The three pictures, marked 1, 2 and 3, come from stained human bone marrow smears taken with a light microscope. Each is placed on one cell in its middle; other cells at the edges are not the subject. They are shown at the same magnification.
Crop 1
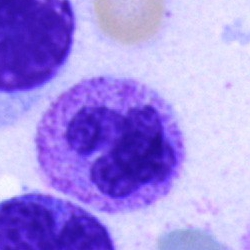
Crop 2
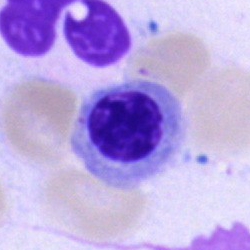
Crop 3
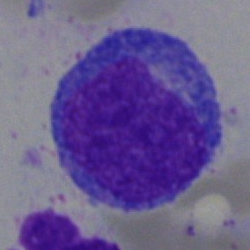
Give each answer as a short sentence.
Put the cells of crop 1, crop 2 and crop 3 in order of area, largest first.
Largest first: 3, 1, 2.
